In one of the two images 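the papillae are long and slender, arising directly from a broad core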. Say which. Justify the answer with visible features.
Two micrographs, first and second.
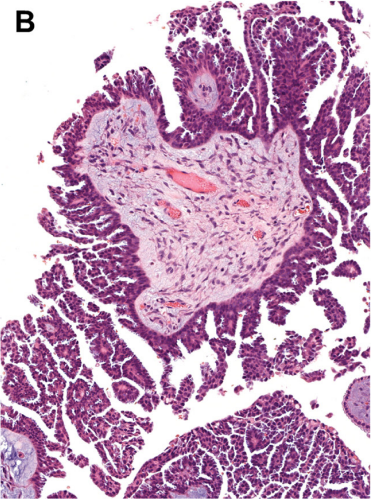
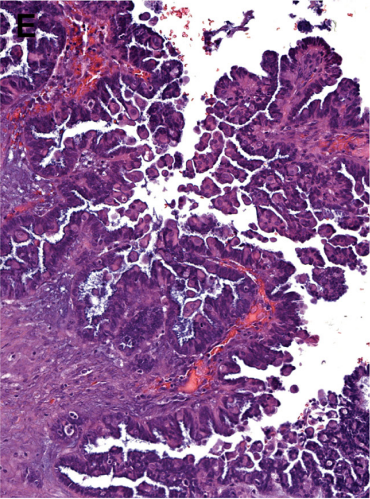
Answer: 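Second image: papillae are short and blunt with crowded epithelium. First image: many thin, long projections radiate straight from a wide pale stromal core. On this evidence: the first image.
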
